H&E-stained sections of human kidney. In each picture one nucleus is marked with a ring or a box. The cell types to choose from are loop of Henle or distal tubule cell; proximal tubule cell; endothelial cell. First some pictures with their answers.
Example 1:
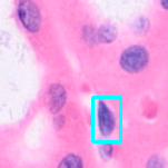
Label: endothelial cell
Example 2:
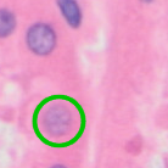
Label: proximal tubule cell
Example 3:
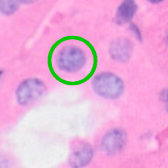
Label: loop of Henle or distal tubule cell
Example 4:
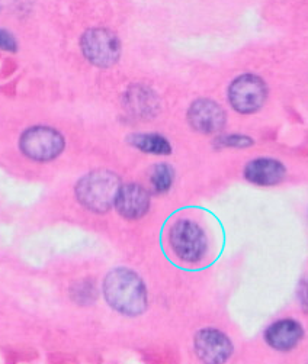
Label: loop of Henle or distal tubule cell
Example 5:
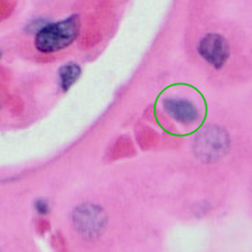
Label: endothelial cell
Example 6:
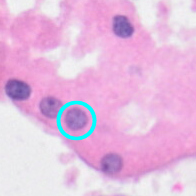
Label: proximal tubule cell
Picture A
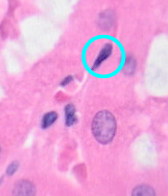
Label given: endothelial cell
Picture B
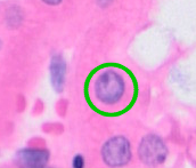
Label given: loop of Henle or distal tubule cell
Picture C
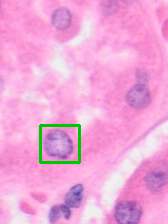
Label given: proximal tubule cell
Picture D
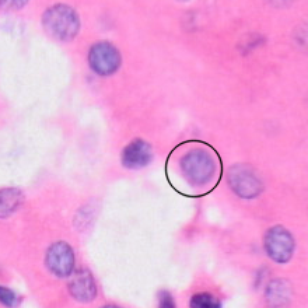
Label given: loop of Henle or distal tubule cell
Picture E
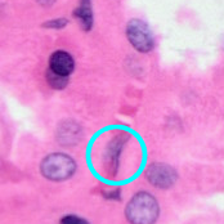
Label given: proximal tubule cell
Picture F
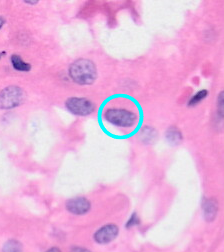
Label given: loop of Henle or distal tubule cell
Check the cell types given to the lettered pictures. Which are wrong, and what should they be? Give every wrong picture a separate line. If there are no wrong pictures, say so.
B: change loop of Henle or distal tubule cell to proximal tubule cell
E: change proximal tubule cell to endothelial cell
